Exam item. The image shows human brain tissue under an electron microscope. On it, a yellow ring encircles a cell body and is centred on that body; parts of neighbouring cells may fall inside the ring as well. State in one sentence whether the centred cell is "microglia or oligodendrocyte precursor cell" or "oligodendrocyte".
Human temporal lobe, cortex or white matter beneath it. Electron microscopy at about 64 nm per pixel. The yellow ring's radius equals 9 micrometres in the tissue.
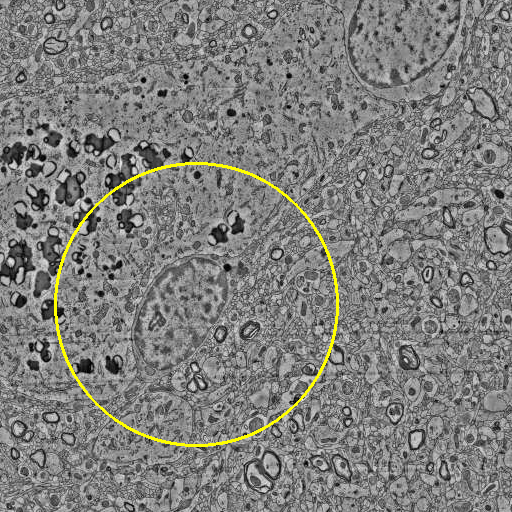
The cell body centred in the ring is an oligodendrocyte.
